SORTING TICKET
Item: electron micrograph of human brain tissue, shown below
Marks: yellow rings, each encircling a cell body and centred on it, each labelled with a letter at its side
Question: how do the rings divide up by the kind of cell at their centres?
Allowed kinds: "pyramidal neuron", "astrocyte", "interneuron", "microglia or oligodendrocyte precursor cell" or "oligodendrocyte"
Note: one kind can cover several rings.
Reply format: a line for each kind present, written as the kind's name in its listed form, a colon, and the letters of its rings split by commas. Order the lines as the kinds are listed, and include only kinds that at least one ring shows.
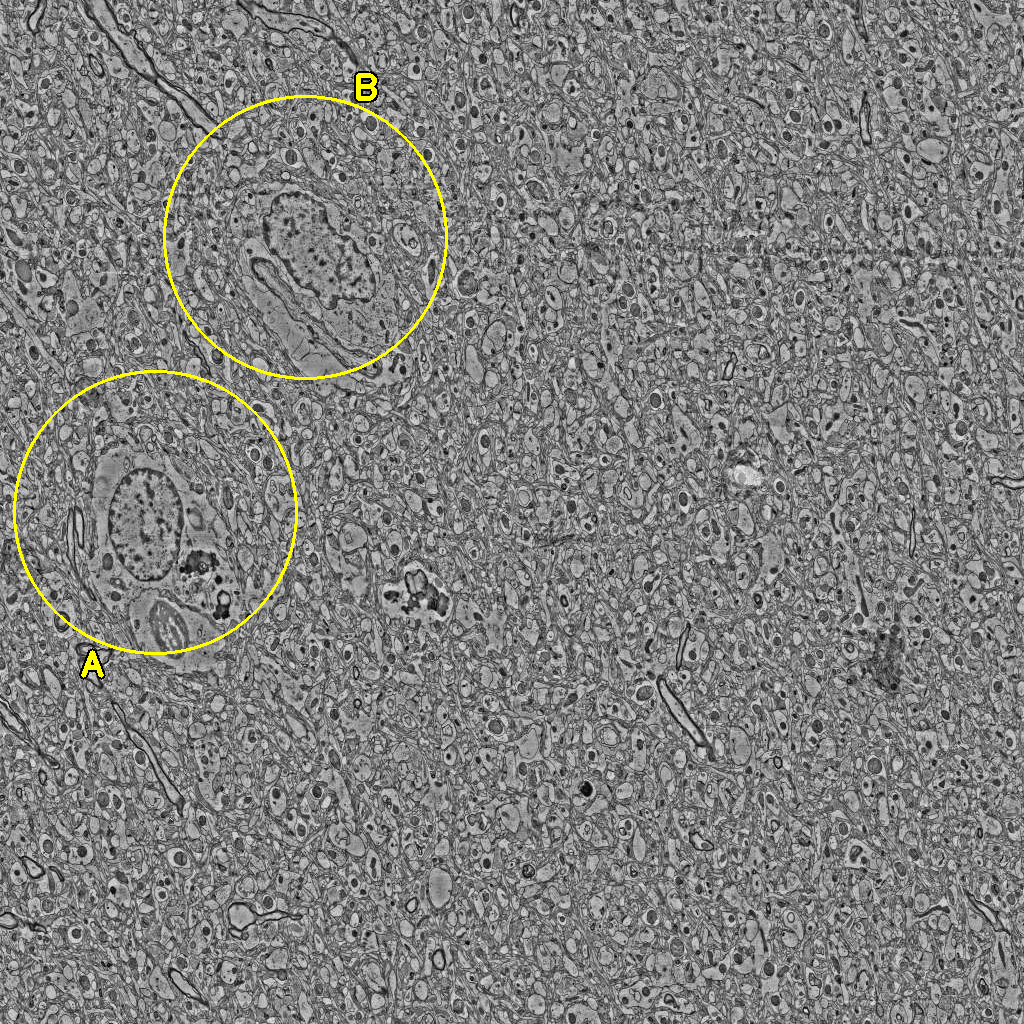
astrocyte: A
microglia or oligodendrocyte precursor cell: B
